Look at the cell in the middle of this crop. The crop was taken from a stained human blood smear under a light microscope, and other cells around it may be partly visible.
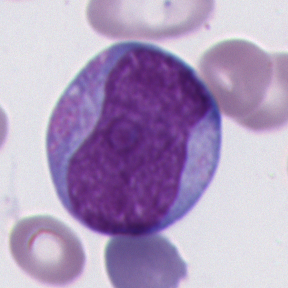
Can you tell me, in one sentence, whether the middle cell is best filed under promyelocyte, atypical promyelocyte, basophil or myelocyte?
The cell positioned in the middle of the field is a promyelocyte.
